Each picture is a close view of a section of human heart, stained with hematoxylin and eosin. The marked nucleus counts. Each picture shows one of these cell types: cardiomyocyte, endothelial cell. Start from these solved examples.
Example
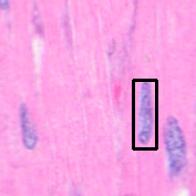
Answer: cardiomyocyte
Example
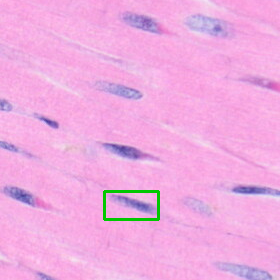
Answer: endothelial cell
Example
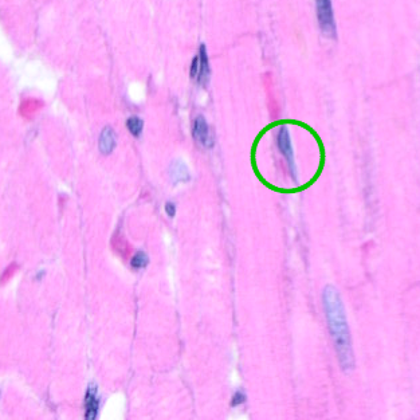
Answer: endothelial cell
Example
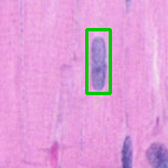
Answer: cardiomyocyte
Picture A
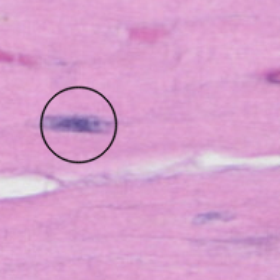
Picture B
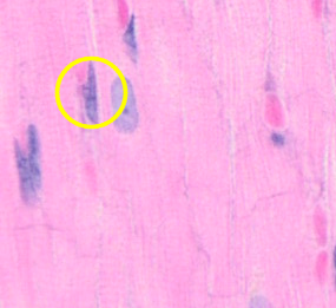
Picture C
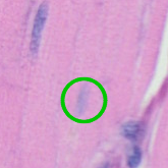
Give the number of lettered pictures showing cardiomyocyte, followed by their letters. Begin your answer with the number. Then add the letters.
1: C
